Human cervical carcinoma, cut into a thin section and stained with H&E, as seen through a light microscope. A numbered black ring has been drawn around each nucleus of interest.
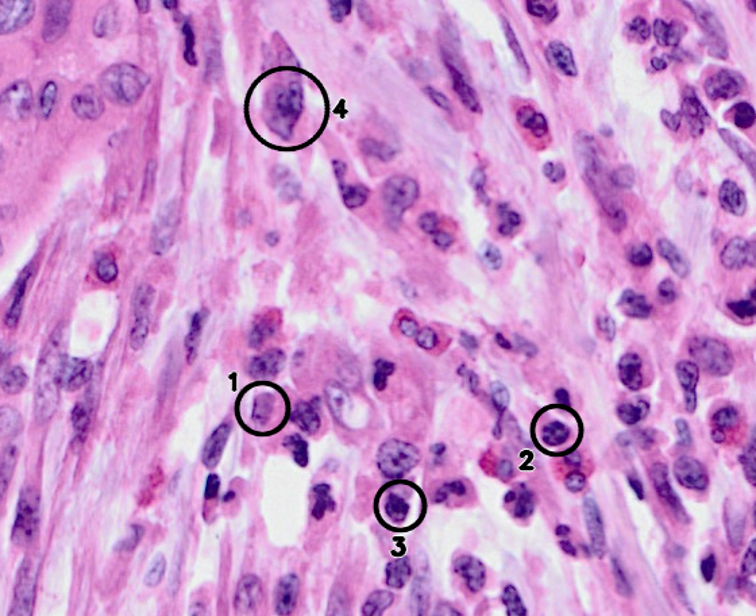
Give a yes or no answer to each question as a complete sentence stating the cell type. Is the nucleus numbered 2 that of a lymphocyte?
Yes, regarding cell number 2, it is a lymphocyte.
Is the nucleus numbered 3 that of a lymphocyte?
Yes, a lymphocyte is what the cell numbered 3 is.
